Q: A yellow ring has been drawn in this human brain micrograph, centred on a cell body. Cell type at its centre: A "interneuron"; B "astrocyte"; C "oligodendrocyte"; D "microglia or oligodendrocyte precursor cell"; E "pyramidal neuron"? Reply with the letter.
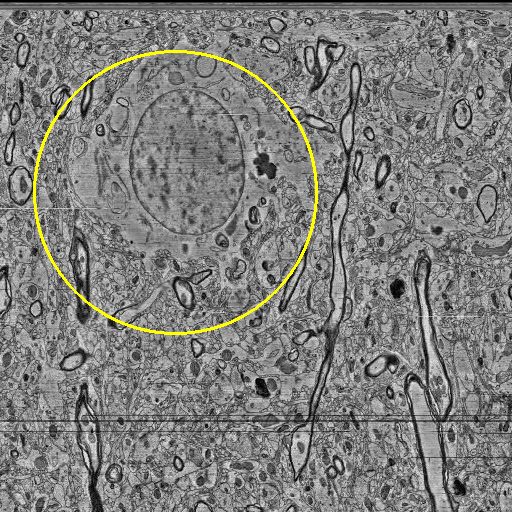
B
